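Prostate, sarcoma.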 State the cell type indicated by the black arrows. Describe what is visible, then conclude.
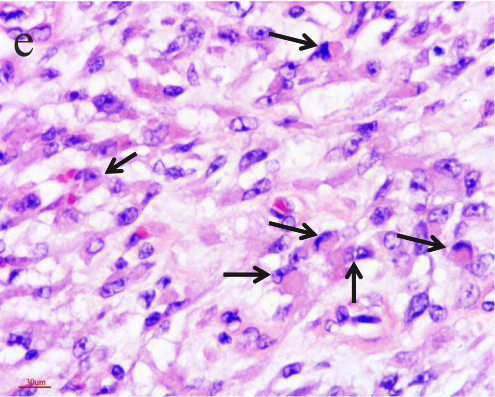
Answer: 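The marked cells have eccentric, displaced nuclei. The marked cells hold round, glassy pink cytoplasmic inclusions. The cells lie loosely apart rather than tightly joined. On this evidence: rhabdoid tumor cells.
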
